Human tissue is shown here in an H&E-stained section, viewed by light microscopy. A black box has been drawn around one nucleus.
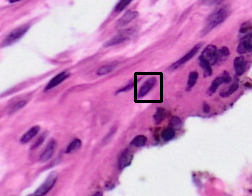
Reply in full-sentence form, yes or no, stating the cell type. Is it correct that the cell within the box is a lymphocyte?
No, the cell within the box is a fibroblast; calling it a lymphocyte would be wrong.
